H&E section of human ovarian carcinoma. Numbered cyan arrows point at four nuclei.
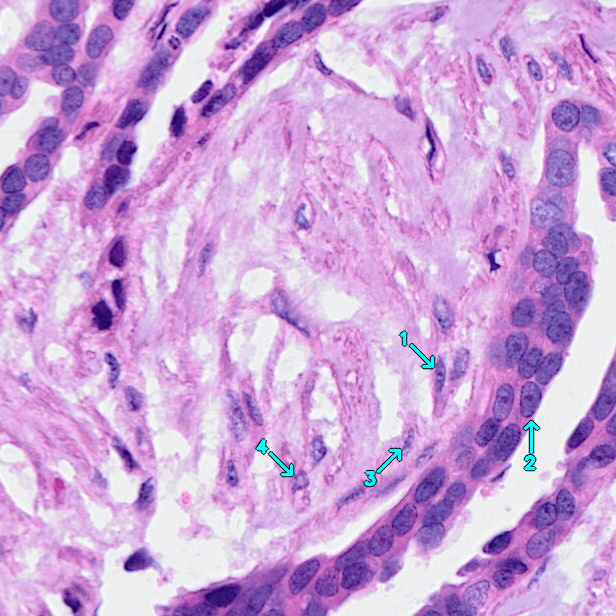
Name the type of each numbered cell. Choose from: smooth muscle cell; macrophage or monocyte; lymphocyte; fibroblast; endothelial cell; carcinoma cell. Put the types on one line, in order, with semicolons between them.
fibroblast; carcinoma cell; fibroblast; fibroblast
